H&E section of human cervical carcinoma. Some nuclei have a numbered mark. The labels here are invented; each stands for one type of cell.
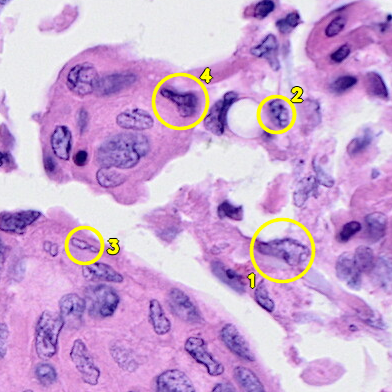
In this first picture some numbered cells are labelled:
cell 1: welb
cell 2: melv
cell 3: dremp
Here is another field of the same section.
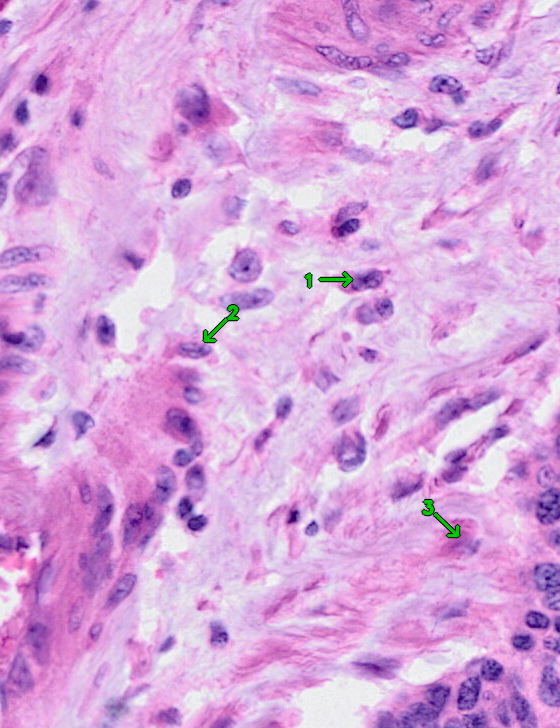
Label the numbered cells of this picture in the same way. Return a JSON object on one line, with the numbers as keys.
{"1": "melv", "2": "melv", "3": "welb"}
